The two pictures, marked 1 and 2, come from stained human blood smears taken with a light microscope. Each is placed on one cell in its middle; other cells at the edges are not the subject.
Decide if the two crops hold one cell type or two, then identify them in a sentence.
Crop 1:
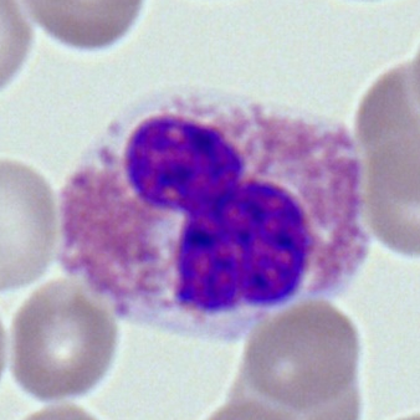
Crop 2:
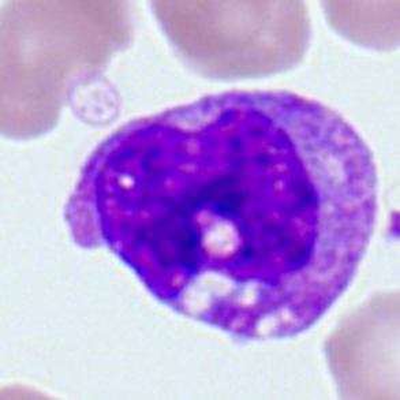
No, crop 1 offers an eosinophil, while crop 2 offers a monocyte.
